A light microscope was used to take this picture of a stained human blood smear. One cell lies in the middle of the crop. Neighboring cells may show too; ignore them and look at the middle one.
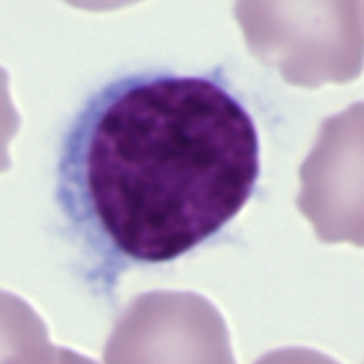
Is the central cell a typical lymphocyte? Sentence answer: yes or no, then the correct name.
No, the cell at the centre is categorised not as a typical lymphocyte but as a hairy cell.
